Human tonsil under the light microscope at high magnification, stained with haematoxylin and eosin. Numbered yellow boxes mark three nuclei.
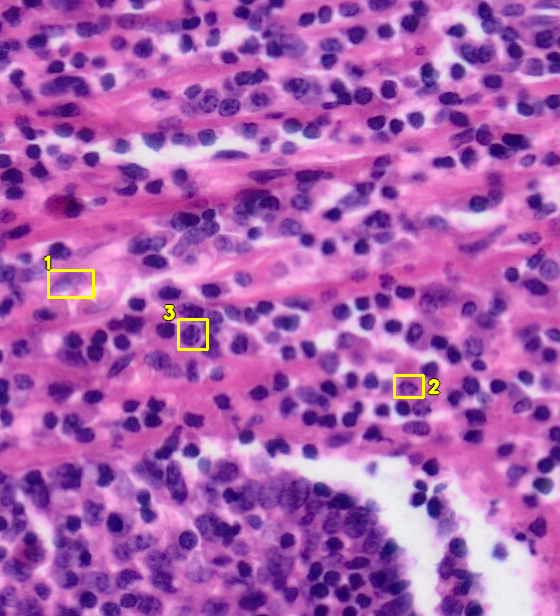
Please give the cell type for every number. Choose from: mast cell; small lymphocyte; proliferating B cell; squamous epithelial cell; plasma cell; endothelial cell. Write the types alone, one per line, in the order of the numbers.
endothelial cell
plasma cell
plasma cell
